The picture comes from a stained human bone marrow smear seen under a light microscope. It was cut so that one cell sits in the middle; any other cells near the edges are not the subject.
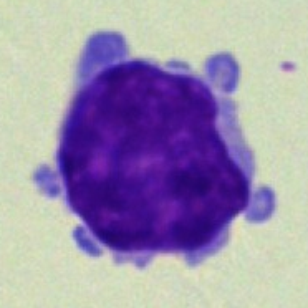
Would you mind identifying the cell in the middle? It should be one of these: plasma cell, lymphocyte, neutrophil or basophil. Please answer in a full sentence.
The centrally placed cell is classified as a lymphocyte.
